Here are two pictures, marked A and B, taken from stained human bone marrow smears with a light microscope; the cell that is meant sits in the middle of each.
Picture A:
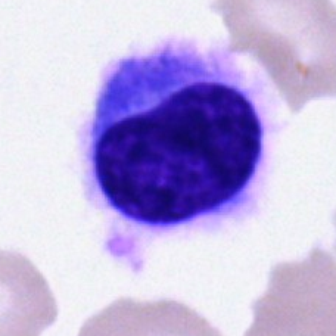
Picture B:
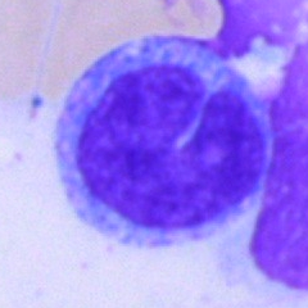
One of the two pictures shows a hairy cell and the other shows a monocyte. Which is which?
A: hairy cell
B: monocyte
